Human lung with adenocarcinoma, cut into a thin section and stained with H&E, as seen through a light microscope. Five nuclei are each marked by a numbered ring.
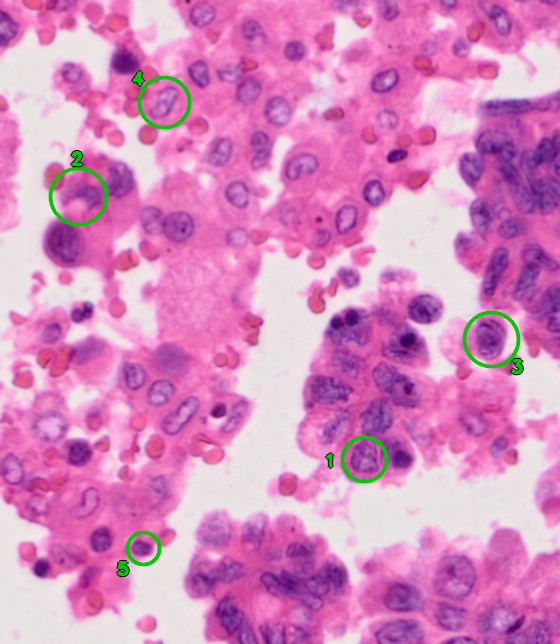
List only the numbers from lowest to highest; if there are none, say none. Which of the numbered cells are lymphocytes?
5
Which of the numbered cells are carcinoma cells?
1, 2, 3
